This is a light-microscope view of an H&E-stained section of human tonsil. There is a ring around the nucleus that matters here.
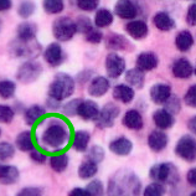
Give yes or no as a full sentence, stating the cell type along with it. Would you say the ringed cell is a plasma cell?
No, the ringed cell is not a plasma cell, but is instead a small lymphocyte.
